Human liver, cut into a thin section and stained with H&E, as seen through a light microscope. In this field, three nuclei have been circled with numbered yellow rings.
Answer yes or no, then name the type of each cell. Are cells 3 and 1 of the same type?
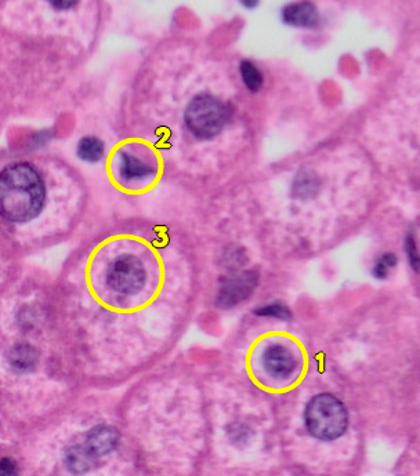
Yes, both are hepatocytes.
